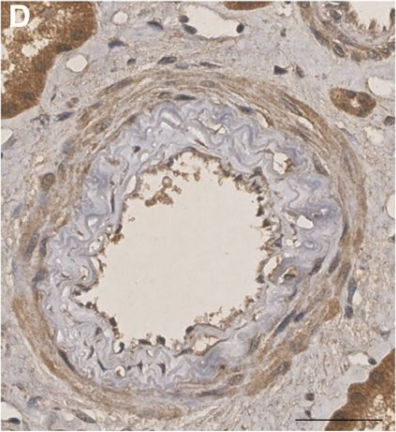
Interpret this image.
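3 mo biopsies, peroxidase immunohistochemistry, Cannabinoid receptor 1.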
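This is a medium-sized artery in renal interstitium, cut in cross section with a wide, open lumen containing some brown granular material. The lumen is lined by a thin intima and a prominent, wavy, blue-grey internal elastic layer. Around it lies a thick media of concentric, elongated smooth muscle cells whose cytoplasm is light brown, the staining forming a ring through the wall. Outside, loose pale connective tissue with scattered nuclei surrounds the vessel, and strongly brown tubules appear at the corners of the field.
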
